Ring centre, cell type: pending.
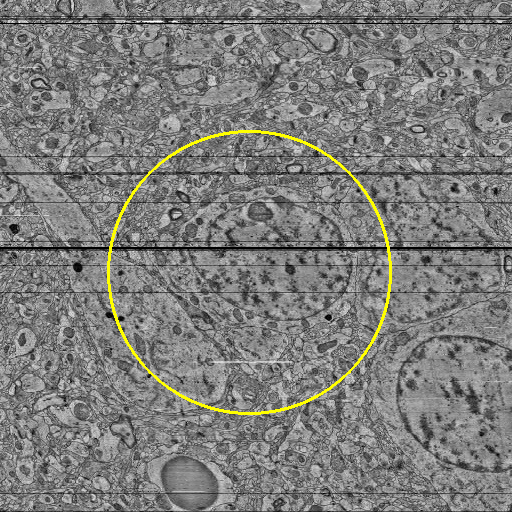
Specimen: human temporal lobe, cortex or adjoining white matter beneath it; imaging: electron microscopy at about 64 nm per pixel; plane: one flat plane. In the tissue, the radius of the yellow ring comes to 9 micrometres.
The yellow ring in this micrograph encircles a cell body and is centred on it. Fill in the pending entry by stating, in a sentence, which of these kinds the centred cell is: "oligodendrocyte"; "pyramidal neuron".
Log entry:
The centred cell is recorded as a pyramidal neuron.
